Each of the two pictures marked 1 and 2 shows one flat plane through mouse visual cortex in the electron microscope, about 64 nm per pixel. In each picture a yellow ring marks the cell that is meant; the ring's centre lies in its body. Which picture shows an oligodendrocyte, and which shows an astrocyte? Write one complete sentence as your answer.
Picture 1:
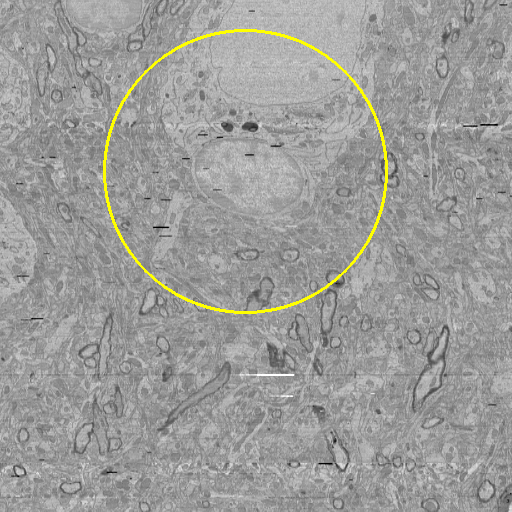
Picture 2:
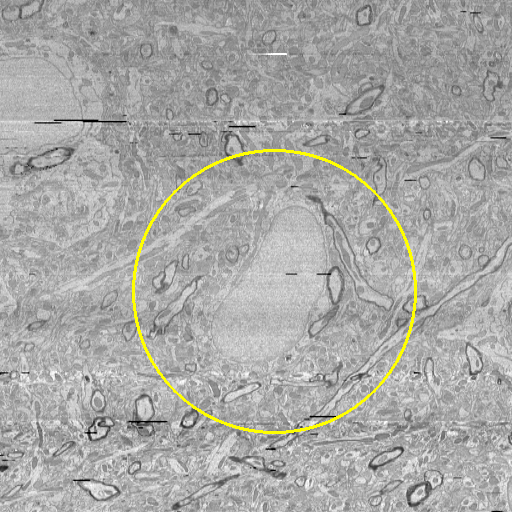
In picture 1 the cell is an oligodendrocyte; in picture 2, an astrocyte.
